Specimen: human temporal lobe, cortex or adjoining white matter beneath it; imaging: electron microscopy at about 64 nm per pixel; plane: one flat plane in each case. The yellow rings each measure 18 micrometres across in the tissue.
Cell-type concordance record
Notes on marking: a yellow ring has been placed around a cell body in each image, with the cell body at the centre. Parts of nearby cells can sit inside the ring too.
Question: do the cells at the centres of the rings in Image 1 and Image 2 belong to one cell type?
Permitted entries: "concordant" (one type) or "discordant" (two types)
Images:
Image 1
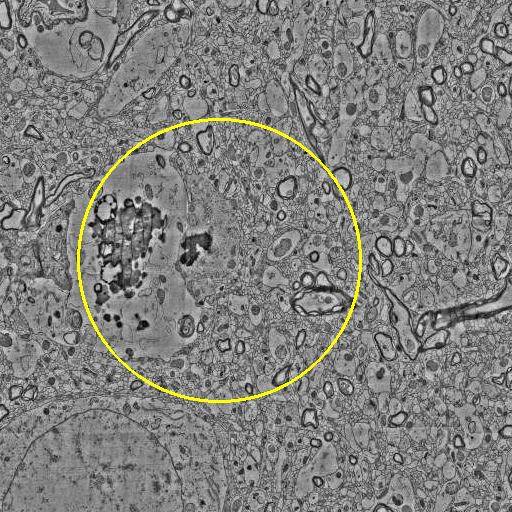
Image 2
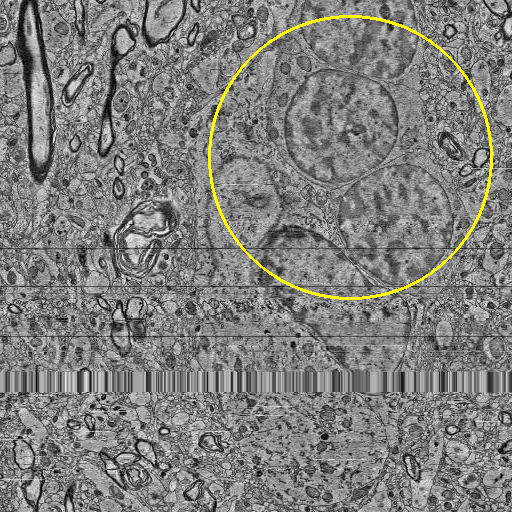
concordant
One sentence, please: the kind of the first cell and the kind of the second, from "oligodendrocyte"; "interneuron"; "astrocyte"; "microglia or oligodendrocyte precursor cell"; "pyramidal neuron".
The cell at the ring centre is an oligodendrocyte in both pictures.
